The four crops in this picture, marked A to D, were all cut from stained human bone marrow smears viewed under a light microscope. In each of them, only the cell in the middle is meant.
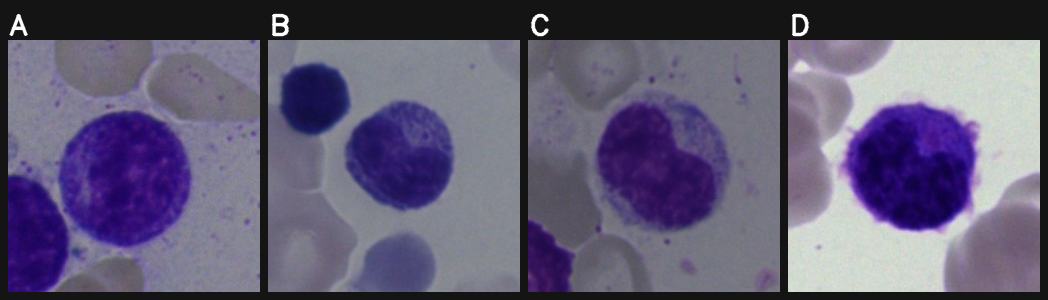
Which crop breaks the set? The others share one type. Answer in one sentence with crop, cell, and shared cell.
Crop D is the sole crop with a monocyte; the others all have metamyelocytes.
